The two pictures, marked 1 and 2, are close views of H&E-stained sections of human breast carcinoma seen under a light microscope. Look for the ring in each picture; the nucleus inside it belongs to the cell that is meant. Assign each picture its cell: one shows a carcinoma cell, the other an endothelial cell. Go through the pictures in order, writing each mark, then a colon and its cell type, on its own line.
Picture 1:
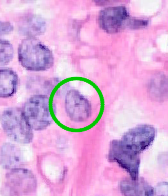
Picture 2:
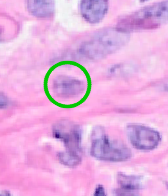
1: carcinoma cell
2: endothelial cell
